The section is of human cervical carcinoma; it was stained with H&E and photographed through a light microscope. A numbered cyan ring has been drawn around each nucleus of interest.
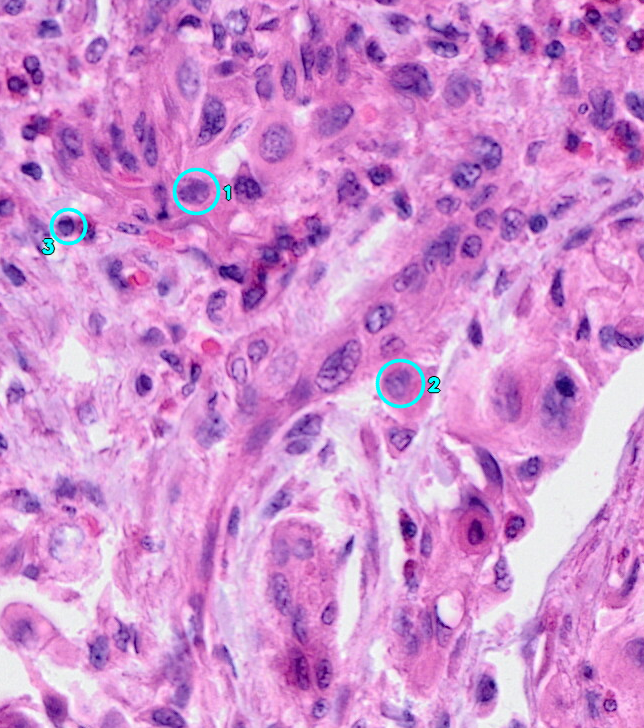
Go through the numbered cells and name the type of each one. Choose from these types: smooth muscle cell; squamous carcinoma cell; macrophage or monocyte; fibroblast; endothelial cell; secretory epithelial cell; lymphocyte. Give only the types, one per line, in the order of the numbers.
squamous carcinoma cell
squamous carcinoma cell
lymphocyte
